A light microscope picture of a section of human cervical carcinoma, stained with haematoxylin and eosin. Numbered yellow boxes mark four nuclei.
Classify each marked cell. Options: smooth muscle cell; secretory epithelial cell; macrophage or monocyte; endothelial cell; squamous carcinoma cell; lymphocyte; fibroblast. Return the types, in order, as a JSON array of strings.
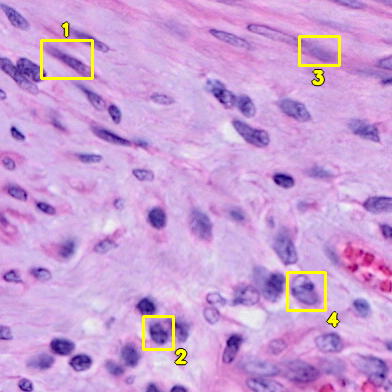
["smooth muscle cell", "lymphocyte", "smooth muscle cell", "macrophage or monocyte"]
